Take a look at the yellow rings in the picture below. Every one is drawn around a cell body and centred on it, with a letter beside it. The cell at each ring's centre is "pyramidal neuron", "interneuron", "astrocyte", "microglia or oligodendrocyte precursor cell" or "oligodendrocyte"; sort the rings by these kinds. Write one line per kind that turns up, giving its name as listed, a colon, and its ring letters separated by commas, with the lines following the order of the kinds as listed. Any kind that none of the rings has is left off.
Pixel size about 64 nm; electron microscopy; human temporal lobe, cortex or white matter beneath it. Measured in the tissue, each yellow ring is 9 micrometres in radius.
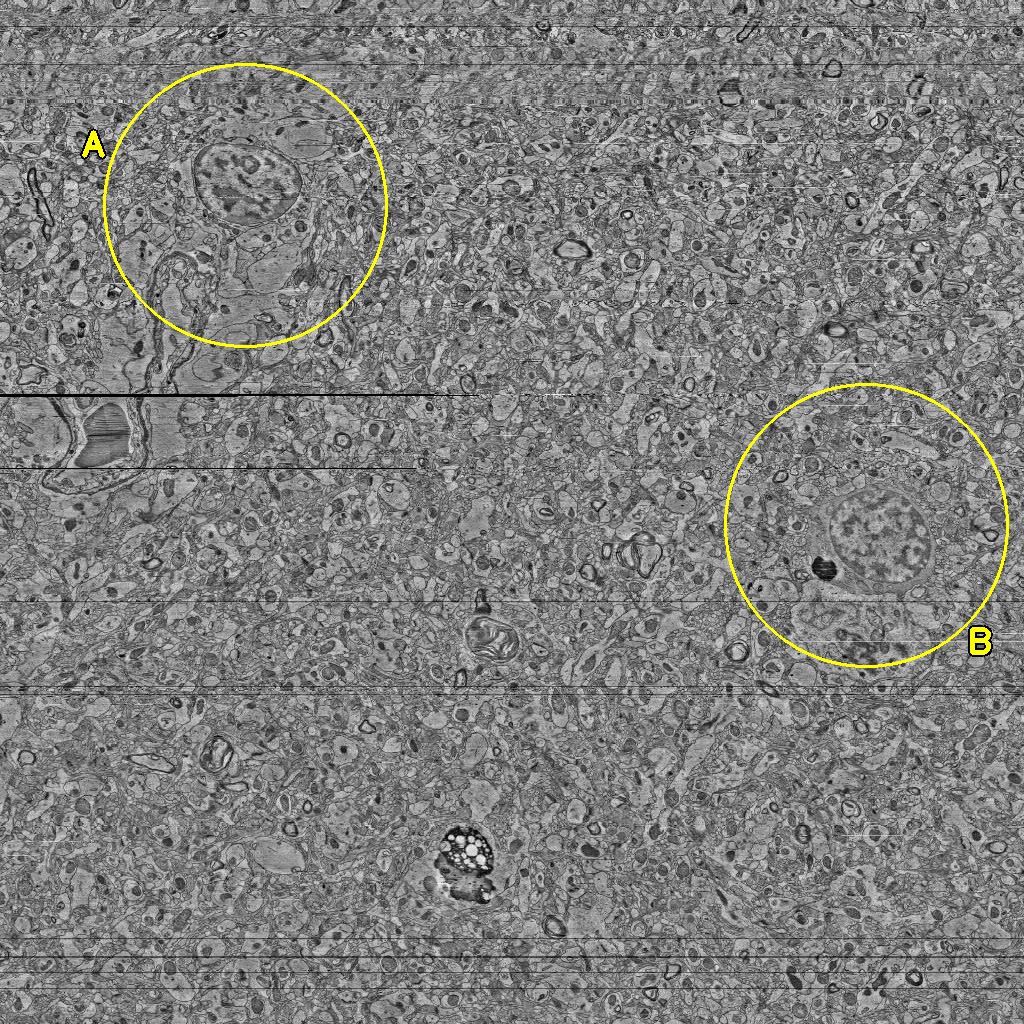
microglia or oligodendrocyte precursor cell: A
oligodendrocyte: B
